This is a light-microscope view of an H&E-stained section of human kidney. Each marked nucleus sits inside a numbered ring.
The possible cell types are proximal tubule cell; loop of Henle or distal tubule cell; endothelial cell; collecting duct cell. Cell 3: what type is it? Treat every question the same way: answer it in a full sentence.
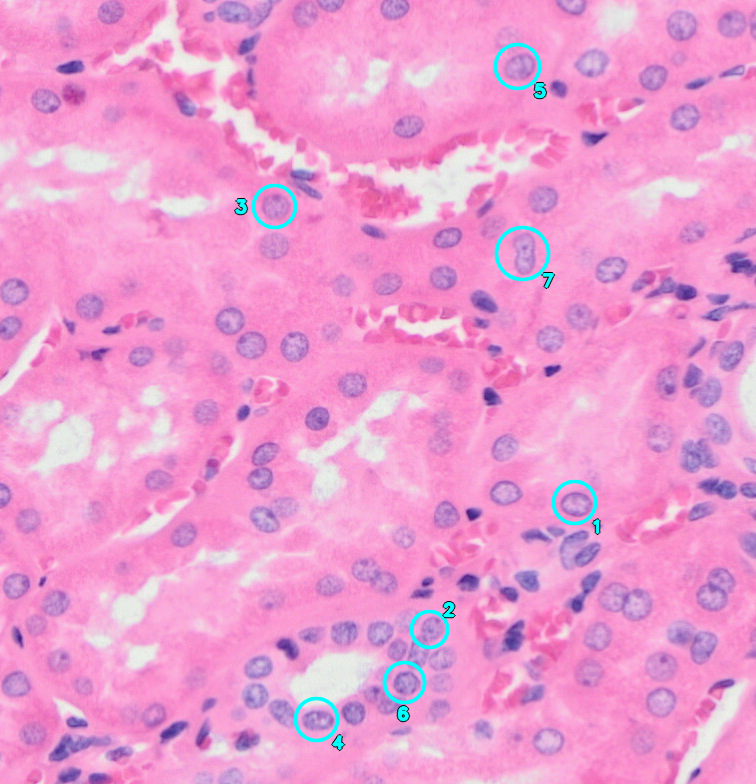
Cell 3 in the field is a proximal tubule cell.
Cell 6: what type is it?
The cell pointed out as number 6 is a collecting duct cell.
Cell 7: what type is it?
Identified as a proximal tubule cell is the cell bearing the number 7.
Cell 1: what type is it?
Nucleus 1 in this section belongs to a proximal tubule cell.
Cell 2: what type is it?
The nucleus with number 2 is that of a collecting duct cell.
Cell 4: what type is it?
In the tissue shown, cell 4 is a collecting duct cell.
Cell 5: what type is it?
The cell pointed out by number 5 is a proximal tubule cell.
